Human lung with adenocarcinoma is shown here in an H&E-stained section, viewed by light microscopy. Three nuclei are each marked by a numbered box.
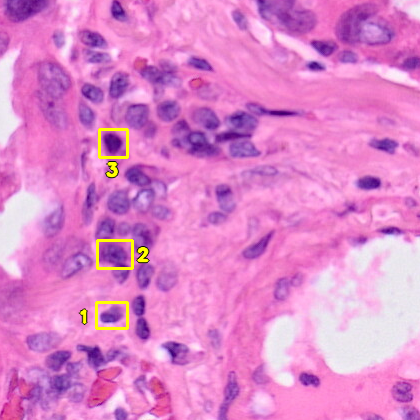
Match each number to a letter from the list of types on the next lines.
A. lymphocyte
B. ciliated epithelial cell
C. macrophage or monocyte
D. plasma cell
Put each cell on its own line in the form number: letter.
1: A
2: D
3: D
